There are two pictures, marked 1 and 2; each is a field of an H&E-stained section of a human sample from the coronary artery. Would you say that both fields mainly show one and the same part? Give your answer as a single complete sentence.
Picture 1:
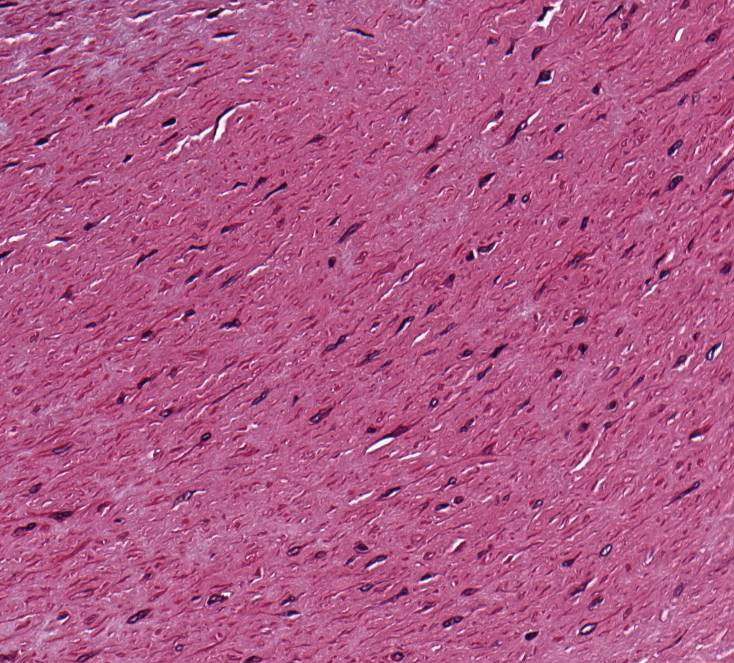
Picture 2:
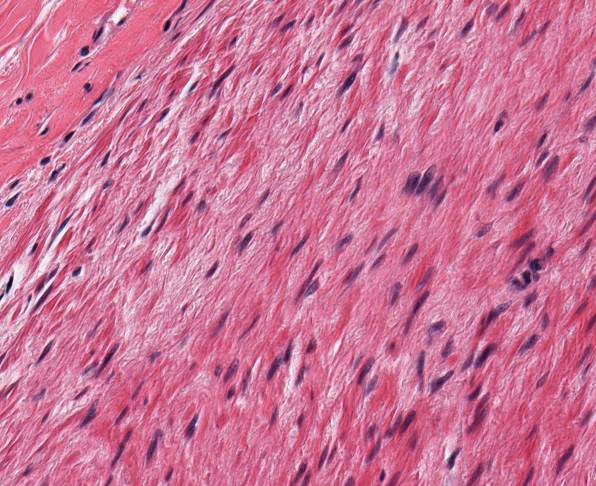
Yes, both mainly show the tunica media.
